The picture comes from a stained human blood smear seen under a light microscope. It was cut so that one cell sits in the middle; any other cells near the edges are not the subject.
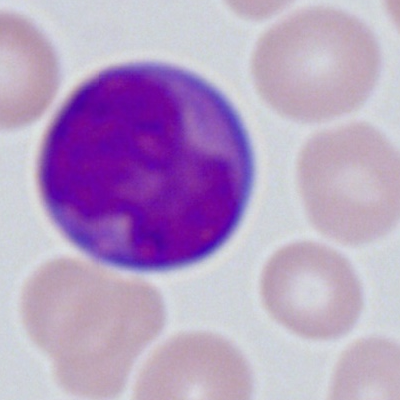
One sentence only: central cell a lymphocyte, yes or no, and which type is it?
No, the one in the center is not a lymphocyte; it is a myeloblast.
